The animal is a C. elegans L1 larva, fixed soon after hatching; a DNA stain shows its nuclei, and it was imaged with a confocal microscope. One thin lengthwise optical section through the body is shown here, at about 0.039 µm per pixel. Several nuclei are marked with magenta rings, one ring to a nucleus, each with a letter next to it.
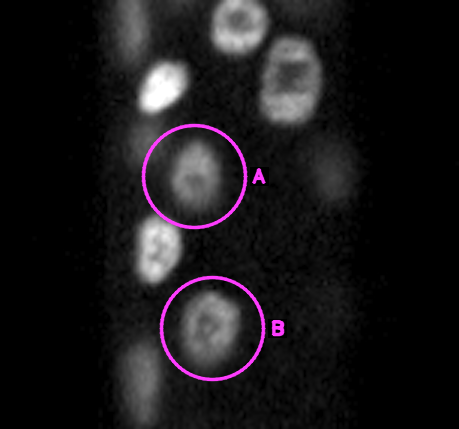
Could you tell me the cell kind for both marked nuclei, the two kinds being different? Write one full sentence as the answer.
B belongs to a seam cell, and A to a P cell (ventral epidermal blast cell).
